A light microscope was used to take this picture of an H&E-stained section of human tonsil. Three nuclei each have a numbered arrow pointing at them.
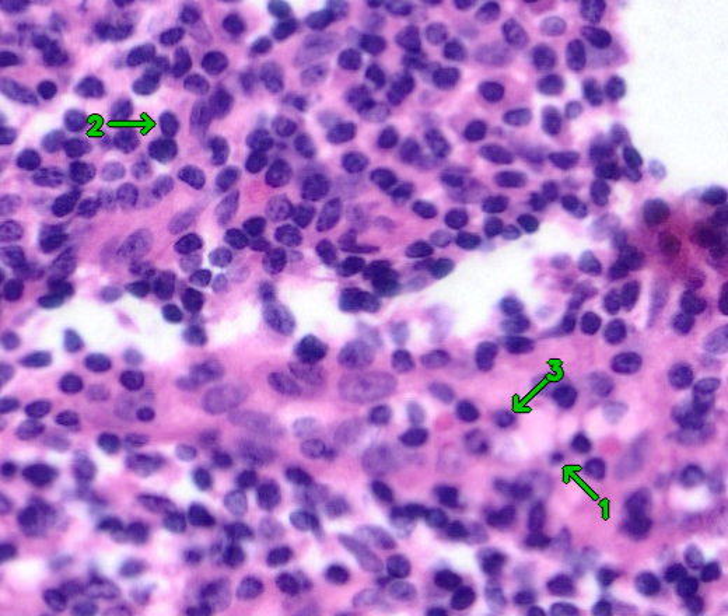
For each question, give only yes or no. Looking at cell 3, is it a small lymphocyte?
no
